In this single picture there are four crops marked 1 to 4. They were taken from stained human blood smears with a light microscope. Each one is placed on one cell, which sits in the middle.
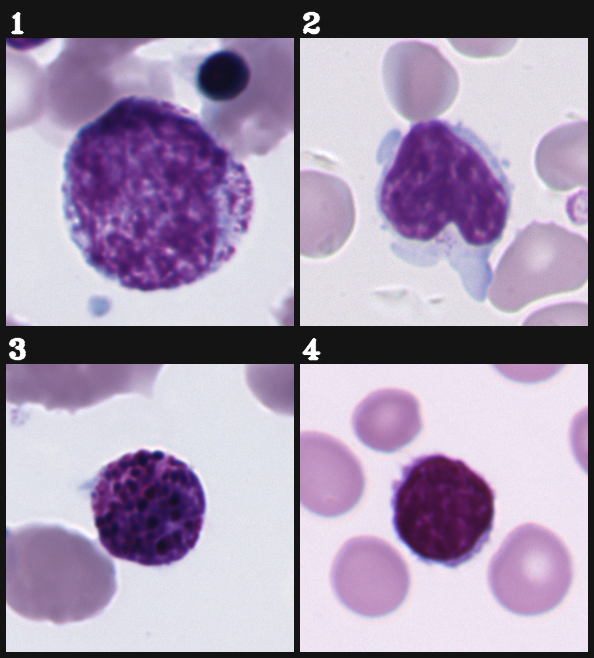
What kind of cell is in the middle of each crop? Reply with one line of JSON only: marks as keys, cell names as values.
{"1": "promyelocyte", "2": "myeloblast", "3": "basophil", "4": "typical lymphocyte"}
